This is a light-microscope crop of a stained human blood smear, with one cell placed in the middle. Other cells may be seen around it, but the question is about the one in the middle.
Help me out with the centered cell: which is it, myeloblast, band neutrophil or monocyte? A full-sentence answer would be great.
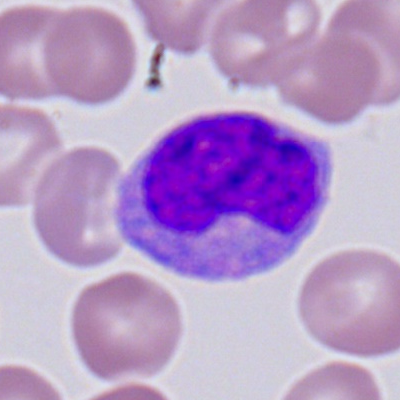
The centrally located cell in the crop is a monocyte.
